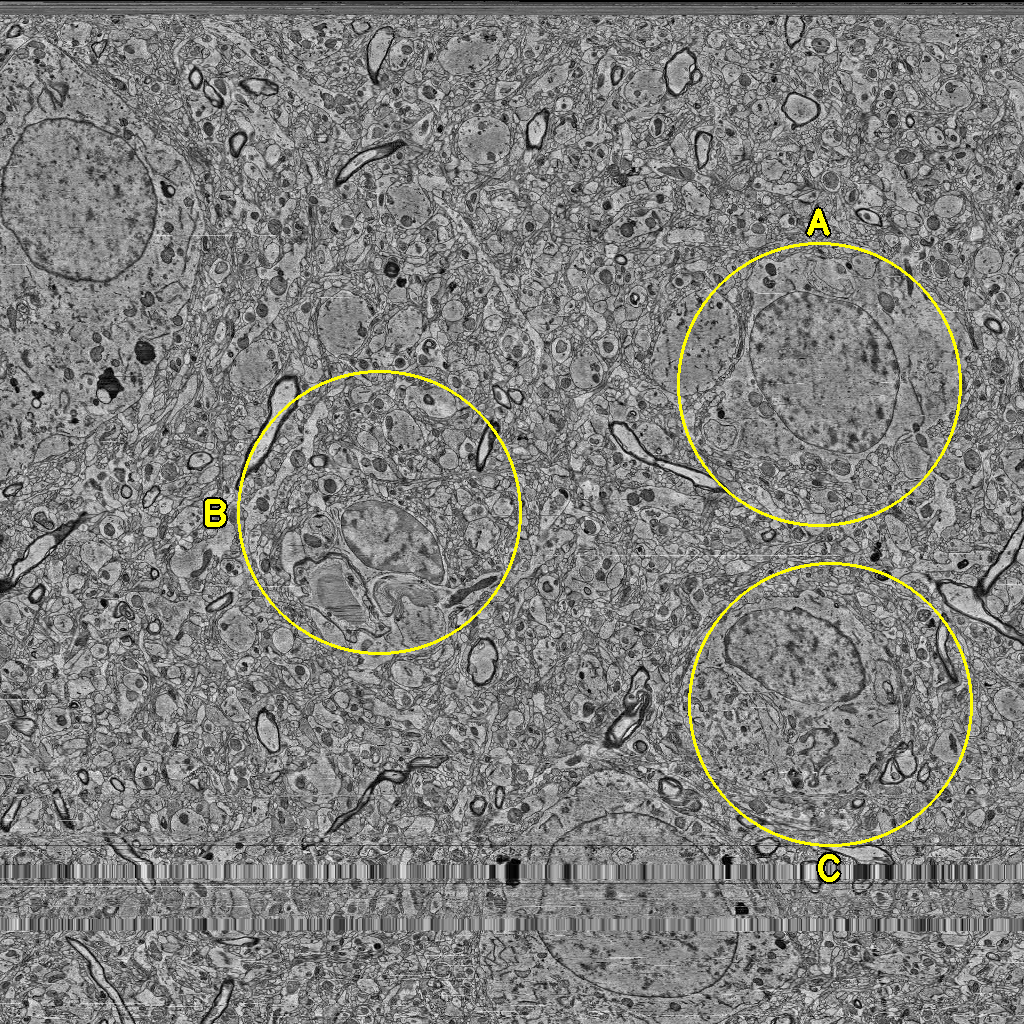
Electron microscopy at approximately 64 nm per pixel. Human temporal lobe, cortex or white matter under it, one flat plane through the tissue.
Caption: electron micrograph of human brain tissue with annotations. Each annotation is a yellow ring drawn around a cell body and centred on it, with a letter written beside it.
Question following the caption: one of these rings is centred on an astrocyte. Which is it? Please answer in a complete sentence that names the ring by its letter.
The ring with the letter A is centred on it.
